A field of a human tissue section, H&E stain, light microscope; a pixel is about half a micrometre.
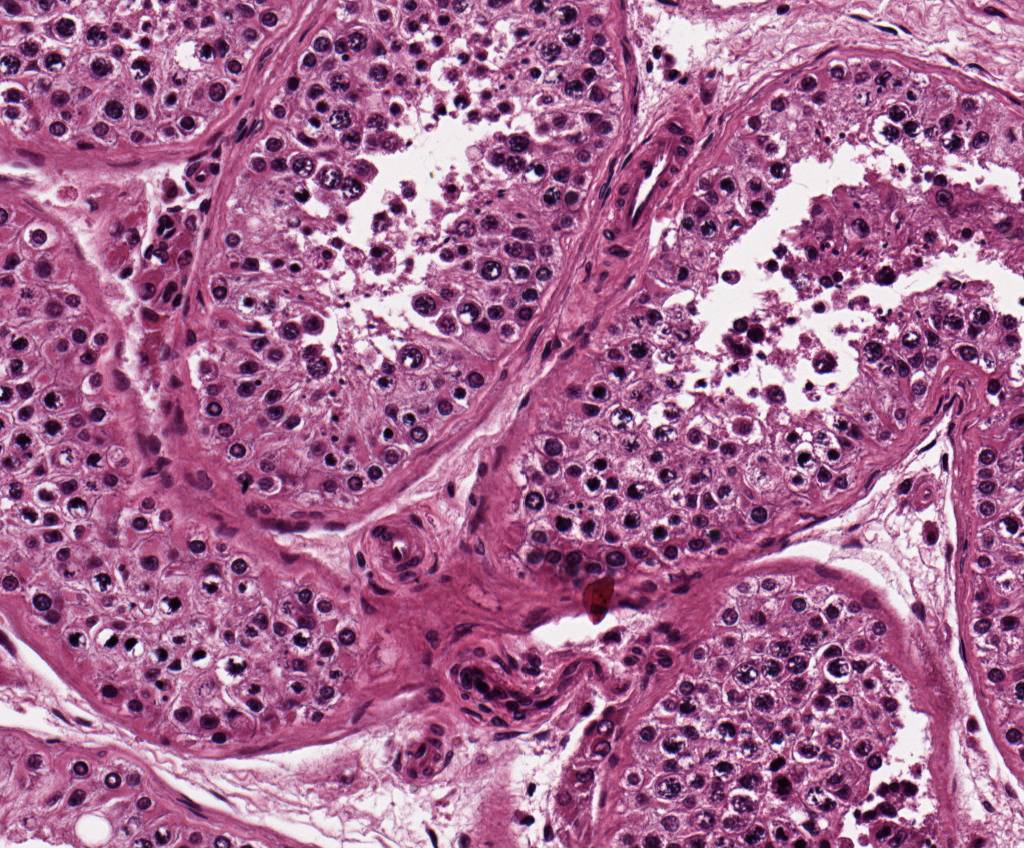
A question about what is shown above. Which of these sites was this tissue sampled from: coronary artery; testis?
testis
